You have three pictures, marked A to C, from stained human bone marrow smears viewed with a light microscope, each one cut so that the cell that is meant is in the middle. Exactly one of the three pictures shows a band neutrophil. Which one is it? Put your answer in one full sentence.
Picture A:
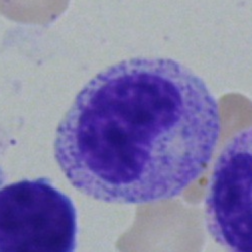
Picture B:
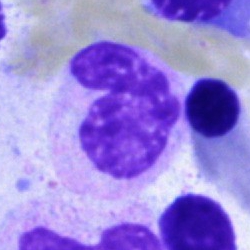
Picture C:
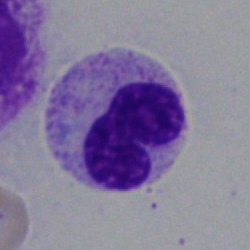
The band neutrophil is the one in picture C.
